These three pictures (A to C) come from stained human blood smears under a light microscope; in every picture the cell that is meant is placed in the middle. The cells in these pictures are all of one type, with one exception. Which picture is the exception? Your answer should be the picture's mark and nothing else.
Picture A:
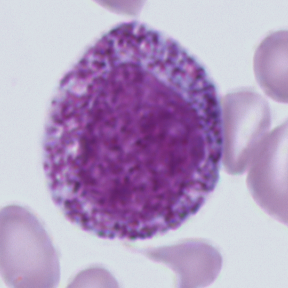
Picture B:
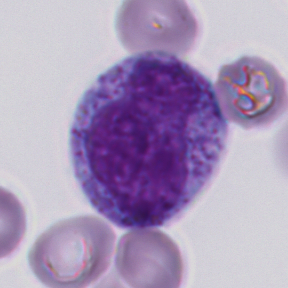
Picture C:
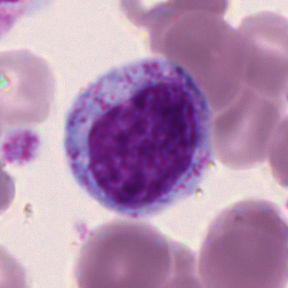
C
